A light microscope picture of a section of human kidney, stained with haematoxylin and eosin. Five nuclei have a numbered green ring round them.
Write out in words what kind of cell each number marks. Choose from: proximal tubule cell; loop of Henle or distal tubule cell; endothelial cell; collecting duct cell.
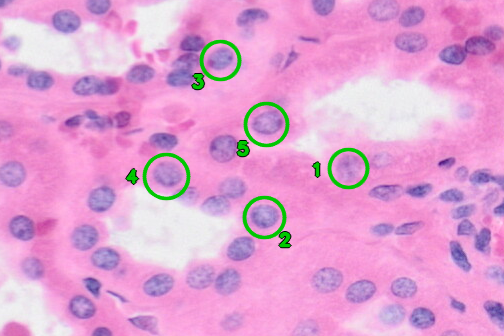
Cells 1 and 5 are proximal tubule cells. Cells 2, 3 and 4 are loop of Henle or distal tubule cells.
